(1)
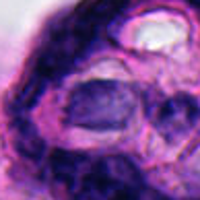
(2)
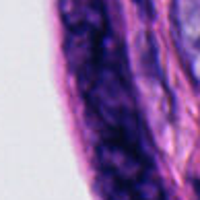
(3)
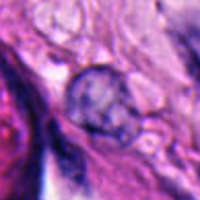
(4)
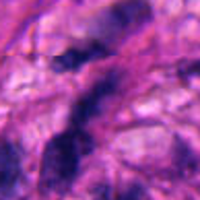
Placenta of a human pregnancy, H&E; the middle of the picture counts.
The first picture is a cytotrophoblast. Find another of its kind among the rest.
Picture 3.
